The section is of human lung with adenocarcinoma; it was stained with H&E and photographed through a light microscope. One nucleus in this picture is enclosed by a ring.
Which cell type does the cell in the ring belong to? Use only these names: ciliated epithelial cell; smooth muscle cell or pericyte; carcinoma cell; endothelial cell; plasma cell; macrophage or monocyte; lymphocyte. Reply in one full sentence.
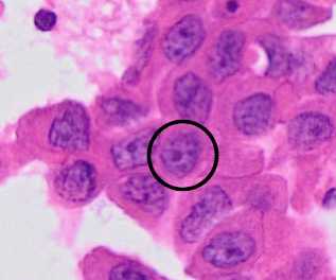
It is a carcinoma cell that the cell in the ring represents.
